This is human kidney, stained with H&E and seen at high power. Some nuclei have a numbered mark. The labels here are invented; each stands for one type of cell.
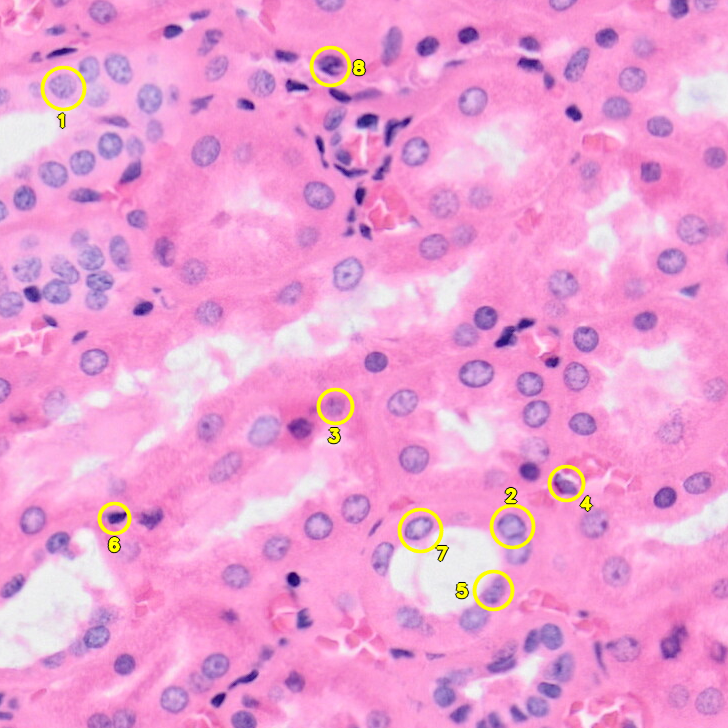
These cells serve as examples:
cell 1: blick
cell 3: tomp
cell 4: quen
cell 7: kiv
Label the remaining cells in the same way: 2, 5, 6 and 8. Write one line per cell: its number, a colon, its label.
2: kiv
5: kiv
6: quen
8: kiv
